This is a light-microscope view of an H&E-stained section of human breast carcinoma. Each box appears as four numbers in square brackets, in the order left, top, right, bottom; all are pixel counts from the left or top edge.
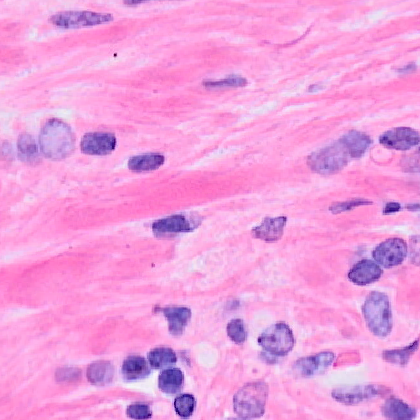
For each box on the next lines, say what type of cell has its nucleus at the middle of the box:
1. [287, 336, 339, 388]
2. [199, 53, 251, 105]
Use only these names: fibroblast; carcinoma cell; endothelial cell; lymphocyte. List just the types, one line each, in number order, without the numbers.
endothelial cell
fibroblast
